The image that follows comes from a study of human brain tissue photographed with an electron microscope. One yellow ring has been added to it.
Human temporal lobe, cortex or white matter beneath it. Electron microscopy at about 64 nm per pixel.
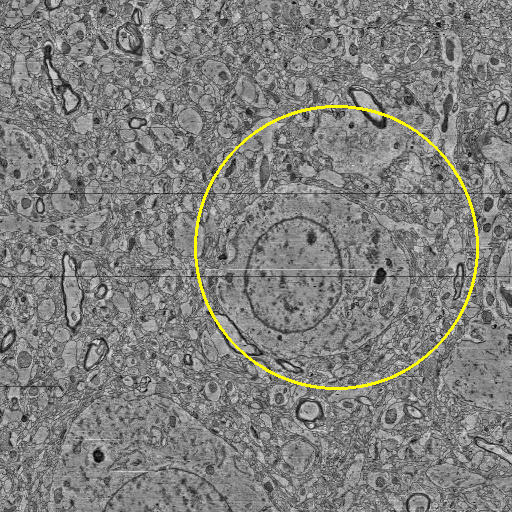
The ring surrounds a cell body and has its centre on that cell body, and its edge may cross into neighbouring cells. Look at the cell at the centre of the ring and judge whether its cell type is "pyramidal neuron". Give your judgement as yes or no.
yes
